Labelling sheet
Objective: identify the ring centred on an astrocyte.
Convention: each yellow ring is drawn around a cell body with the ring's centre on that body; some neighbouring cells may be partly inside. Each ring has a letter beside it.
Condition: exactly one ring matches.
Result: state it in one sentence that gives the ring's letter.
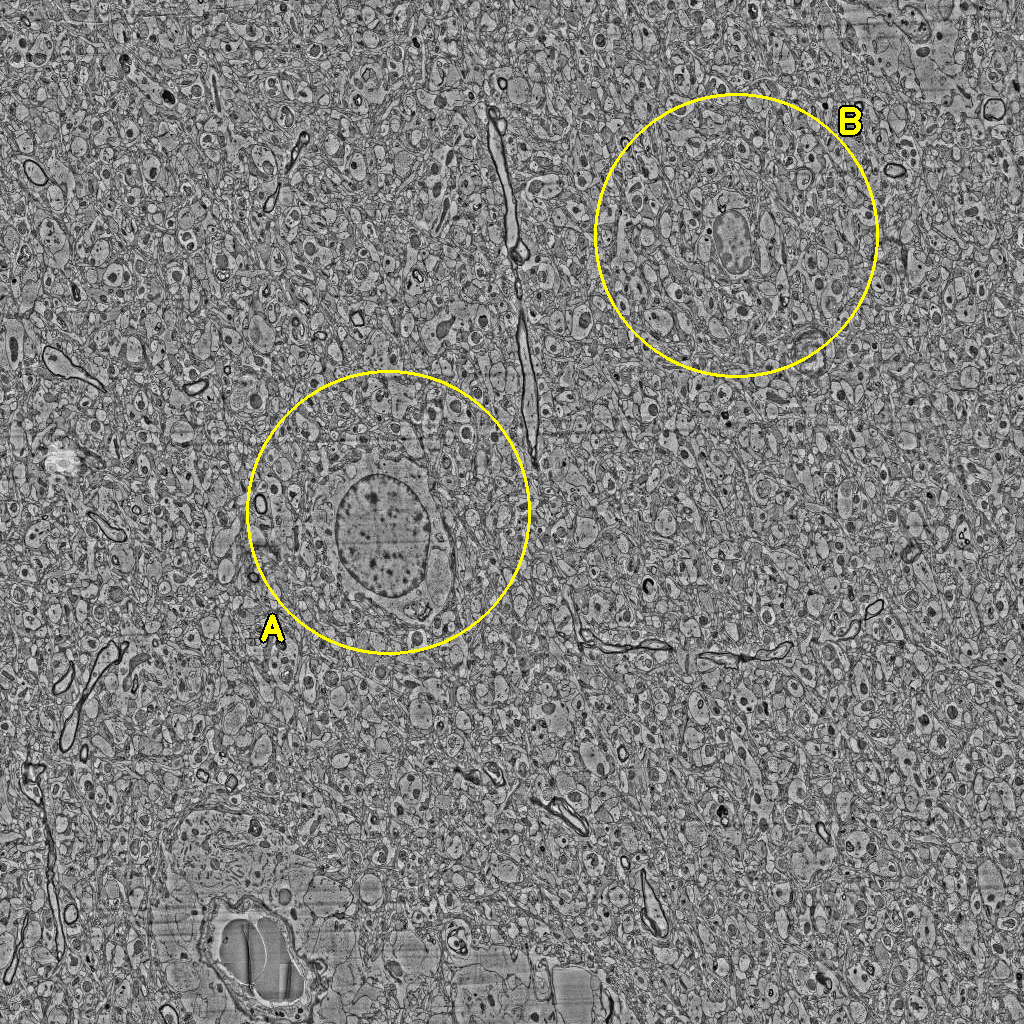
It lies at the centre of ring A.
